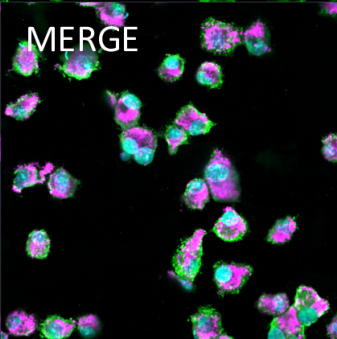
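Green staining outlines the cell edges, which are irregular and ruffled. Dark empty background separates many of the cells.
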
